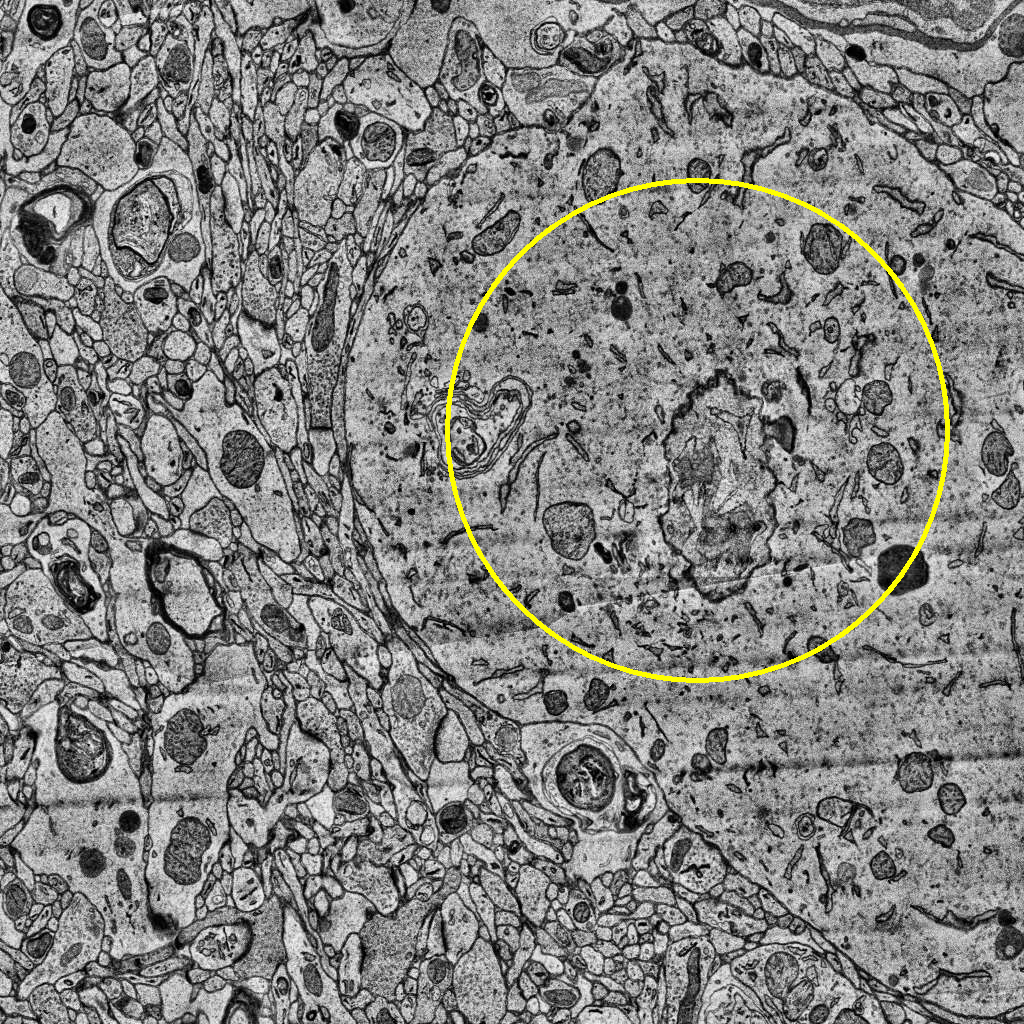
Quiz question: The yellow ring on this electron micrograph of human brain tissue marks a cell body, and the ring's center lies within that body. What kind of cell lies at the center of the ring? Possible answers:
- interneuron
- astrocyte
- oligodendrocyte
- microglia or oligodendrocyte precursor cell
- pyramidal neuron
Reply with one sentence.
The ring's center lies on an oligodendrocyte.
